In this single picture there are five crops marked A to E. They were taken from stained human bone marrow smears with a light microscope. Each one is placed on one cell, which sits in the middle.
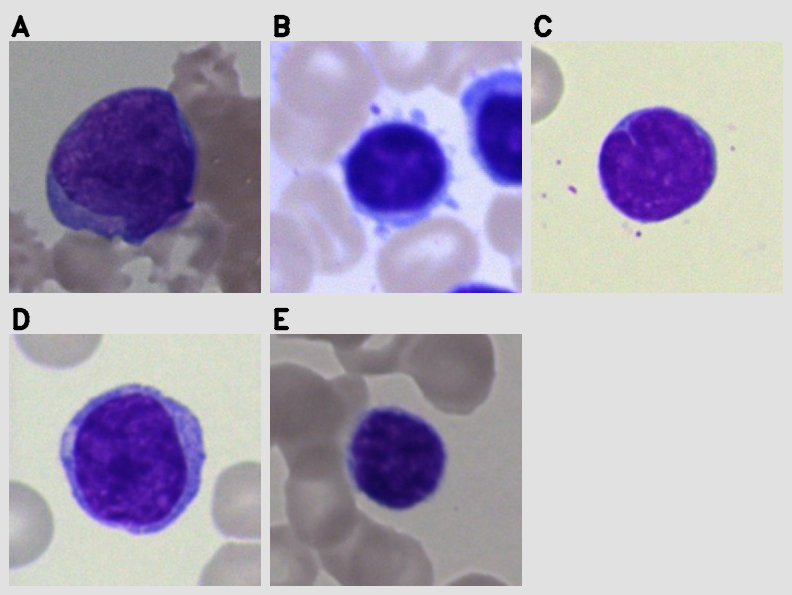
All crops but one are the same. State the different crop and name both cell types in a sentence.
Crop A holds a blast, unlike the remaining crops, all of which hold lymphocytes.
